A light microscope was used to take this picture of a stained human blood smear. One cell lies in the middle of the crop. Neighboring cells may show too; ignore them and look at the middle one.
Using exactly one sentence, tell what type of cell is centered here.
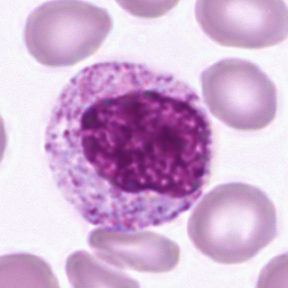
Classification of the middle cell gives a metamyelocyte.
